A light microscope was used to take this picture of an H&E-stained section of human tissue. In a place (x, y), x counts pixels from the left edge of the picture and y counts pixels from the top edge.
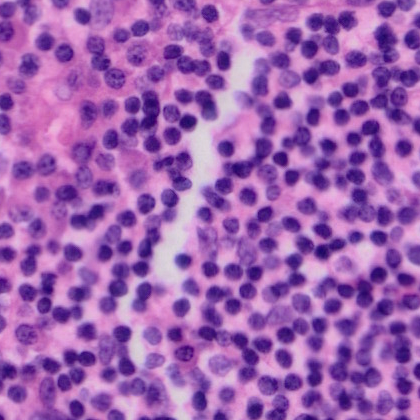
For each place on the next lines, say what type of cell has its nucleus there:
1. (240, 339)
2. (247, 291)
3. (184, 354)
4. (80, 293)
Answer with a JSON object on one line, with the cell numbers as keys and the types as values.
{"1": "small lymphocyte", "2": "small lymphocyte", "3": "plasma cell", "4": "small lymphocyte"}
